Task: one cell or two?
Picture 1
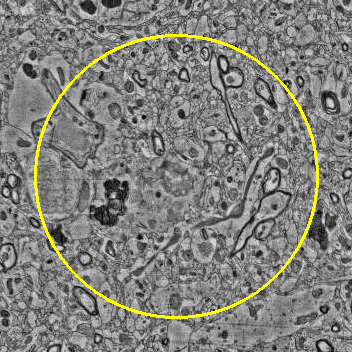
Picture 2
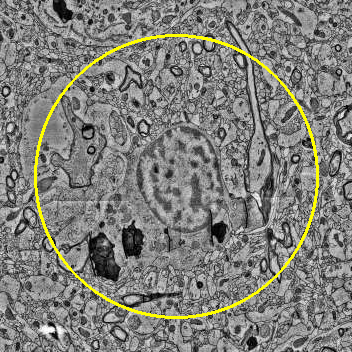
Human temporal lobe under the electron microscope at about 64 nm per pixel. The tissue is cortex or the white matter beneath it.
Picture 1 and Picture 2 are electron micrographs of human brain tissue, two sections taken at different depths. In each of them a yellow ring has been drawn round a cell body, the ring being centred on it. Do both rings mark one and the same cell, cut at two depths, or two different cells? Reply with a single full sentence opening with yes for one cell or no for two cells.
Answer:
Yes, the same individual cell is enclosed by both rings.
